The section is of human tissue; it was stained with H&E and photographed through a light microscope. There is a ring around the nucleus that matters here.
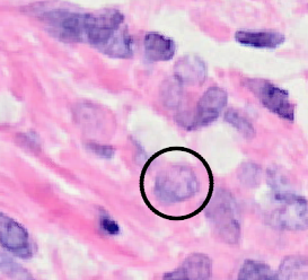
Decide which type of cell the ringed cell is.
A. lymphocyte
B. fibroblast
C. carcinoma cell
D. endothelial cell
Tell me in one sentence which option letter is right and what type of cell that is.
Option C stands as correct, with the ringed cell being a carcinoma cell.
